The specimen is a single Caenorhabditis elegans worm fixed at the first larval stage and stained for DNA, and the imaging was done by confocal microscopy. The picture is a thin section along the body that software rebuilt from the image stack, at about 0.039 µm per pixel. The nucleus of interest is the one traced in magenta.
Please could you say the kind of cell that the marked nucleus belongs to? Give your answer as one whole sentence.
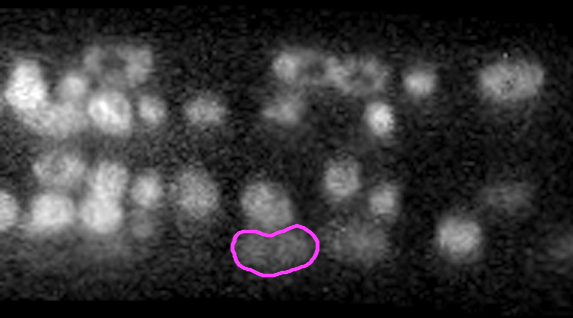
What is marked is the nucleus of a hypodermal cell (hyp).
